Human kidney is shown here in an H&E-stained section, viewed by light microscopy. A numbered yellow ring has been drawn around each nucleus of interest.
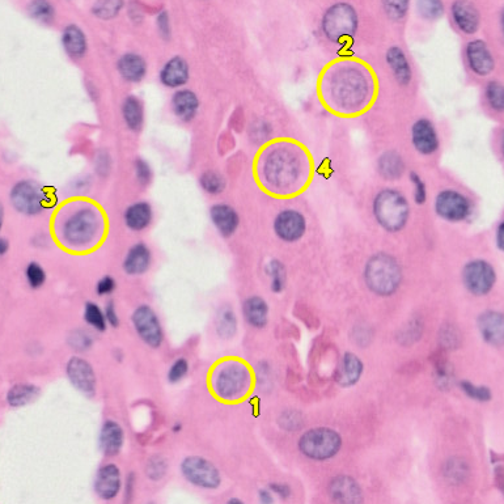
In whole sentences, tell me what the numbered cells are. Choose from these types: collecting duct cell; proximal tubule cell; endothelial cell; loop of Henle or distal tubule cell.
Cells 1 and 3 are loop of Henle or distal tubule cells. Cells 2 and 4 are proximal tubule cells.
